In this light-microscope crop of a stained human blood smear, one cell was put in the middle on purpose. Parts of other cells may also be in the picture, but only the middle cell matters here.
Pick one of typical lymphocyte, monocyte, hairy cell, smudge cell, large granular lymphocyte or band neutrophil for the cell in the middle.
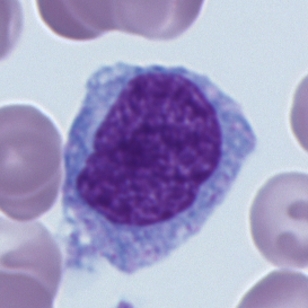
monocyte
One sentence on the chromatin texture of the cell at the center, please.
The chromatin is fine throughout, without coarse clumps.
